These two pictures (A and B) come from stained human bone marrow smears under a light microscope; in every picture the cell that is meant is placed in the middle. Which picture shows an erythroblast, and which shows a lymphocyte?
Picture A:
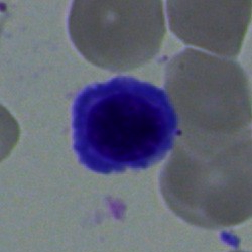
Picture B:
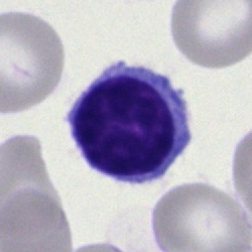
A: erythroblast
B: lymphocyte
